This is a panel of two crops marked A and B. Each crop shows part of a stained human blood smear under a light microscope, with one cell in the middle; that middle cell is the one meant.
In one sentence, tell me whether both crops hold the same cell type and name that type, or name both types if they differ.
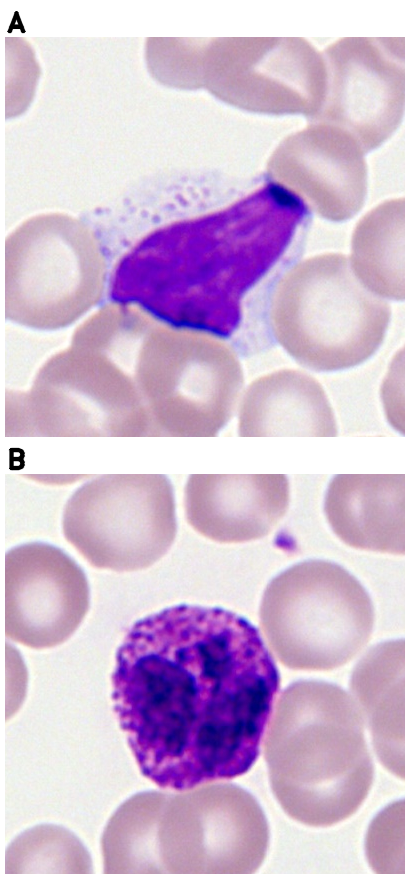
No, crop A gives us a lymphocyte and crop B gives us a basophil.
